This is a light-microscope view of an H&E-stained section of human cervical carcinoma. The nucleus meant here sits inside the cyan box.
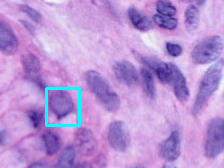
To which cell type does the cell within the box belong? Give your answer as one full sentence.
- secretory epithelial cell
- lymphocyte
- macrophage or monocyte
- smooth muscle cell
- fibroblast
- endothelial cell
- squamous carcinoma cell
In the tissue under study, the cell within the box is a secretory epithelial cell.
